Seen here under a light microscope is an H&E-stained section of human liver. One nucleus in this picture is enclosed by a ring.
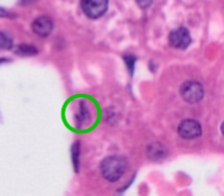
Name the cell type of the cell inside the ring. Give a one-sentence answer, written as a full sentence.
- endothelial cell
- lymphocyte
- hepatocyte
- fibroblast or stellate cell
With respect to cell type, the cell inside the ring is a fibroblast or stellate cell.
